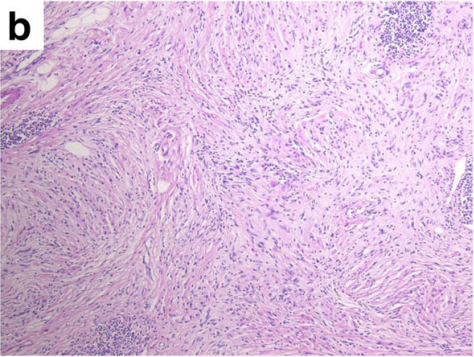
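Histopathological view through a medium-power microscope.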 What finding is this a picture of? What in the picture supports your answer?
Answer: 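Spindle cell proliferation. Sheets of elongated cells with slender oval nuclei fill the field. The elongated cells run in interlacing fascicles and whorls. Small clusters of dark round nuclei lie scattered among them.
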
